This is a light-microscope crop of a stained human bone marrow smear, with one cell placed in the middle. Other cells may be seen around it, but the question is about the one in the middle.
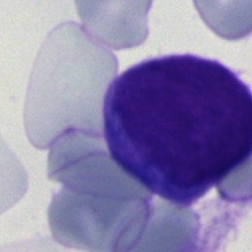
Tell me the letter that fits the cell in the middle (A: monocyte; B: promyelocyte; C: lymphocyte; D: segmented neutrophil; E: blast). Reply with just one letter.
E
